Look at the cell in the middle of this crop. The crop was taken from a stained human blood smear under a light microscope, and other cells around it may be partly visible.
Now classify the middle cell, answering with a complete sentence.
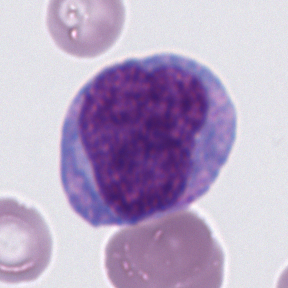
The centrally placed cell is classified as an atypical promyelocyte.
